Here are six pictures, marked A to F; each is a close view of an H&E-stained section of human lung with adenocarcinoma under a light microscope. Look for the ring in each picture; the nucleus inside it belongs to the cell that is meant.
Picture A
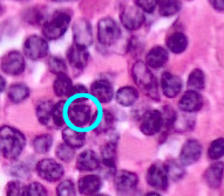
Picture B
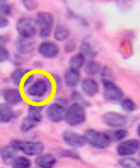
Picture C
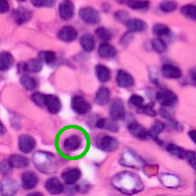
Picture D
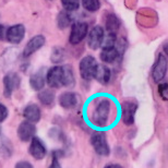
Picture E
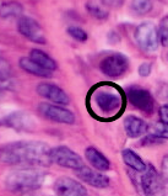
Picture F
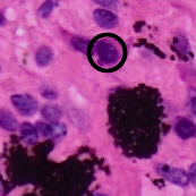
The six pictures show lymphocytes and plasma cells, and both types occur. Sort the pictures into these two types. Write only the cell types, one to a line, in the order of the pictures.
lymphocyte
lymphocyte
lymphocyte
lymphocyte
plasma cell
plasma cell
